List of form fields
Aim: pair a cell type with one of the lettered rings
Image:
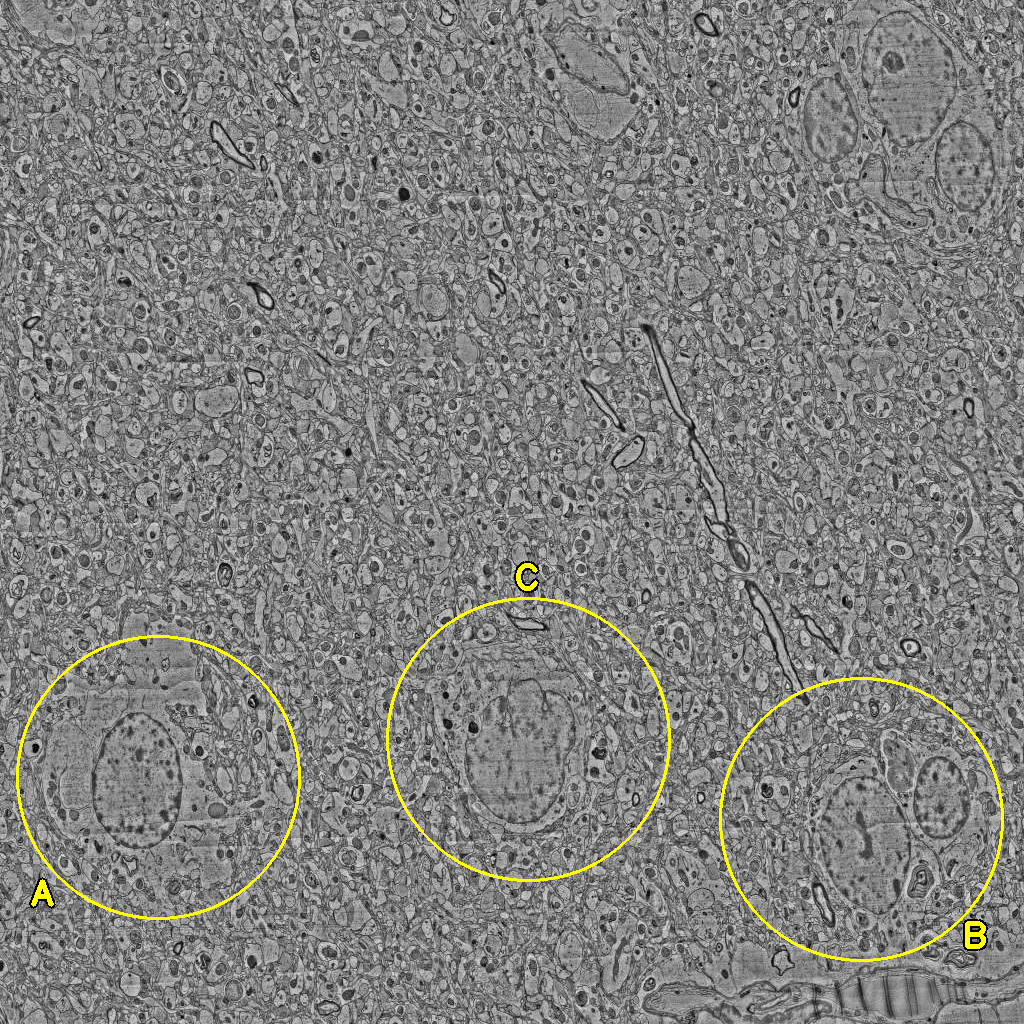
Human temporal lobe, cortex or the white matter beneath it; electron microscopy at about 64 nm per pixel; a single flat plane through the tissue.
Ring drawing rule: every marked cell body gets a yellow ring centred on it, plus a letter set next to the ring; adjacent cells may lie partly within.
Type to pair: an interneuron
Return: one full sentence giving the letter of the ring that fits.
Ring C is the one whose central cell body is that kind of cell.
